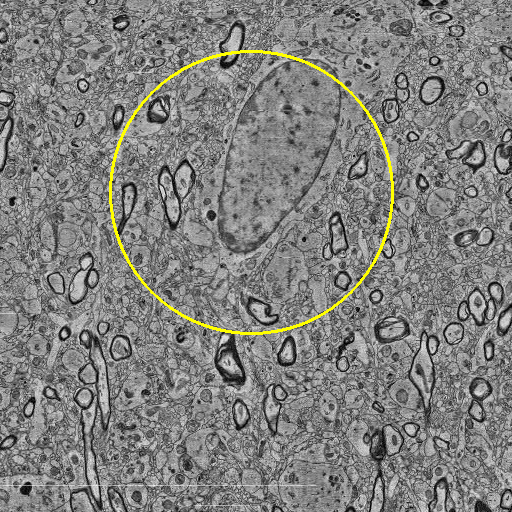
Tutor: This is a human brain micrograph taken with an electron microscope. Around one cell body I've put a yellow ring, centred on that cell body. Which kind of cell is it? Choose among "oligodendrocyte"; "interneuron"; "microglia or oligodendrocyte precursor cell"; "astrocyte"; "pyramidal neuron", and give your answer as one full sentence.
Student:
Going by your list, the cell centred in the yellow ring is a microglial cell or oligodendrocyte precursor cell.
